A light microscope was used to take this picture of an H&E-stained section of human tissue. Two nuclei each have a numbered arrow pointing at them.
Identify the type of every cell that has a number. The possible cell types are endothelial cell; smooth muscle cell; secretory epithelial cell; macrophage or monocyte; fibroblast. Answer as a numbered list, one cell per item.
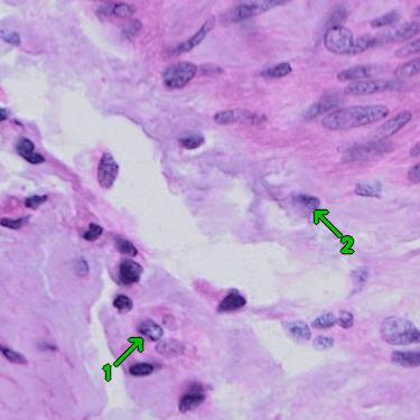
1. endothelial cell
2. fibroblast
